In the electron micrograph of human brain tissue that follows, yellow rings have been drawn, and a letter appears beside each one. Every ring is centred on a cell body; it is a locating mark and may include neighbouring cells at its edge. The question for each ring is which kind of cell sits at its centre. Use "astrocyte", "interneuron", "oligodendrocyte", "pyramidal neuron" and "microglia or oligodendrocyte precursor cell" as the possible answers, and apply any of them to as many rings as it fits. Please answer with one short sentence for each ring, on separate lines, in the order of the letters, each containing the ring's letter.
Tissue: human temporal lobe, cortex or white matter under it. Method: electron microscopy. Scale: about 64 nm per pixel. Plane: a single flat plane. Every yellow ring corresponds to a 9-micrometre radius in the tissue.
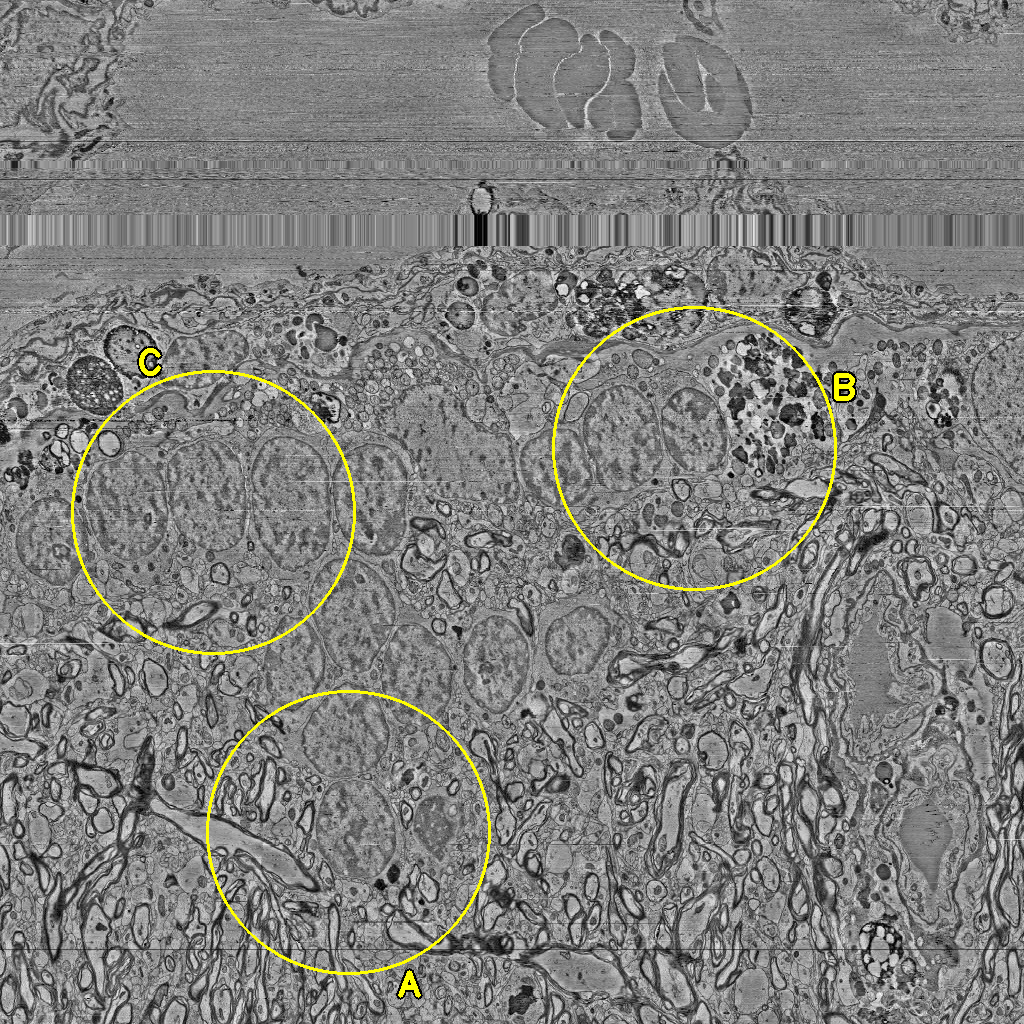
Sitting at the centre of ring A is an oligodendrocyte.
Sitting at the centre of ring B is an oligodendrocyte.
Sitting at the centre of ring C is an oligodendrocyte.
